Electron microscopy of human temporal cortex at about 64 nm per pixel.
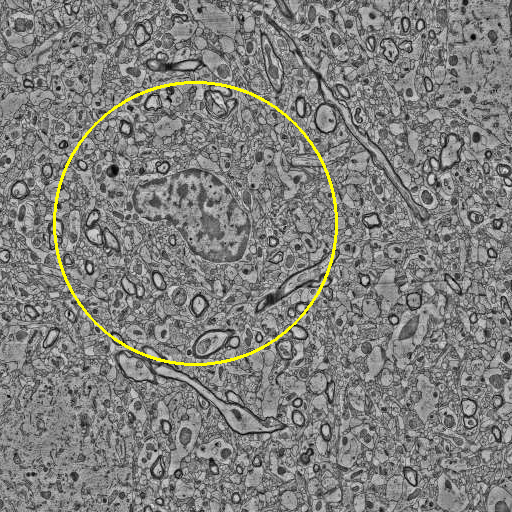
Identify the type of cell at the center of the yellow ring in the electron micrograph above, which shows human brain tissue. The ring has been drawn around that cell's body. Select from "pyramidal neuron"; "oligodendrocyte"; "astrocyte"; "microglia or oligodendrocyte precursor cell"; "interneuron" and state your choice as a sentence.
The yellow ring is centered on the body of a microglial cell or oligodendrocyte precursor cell.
